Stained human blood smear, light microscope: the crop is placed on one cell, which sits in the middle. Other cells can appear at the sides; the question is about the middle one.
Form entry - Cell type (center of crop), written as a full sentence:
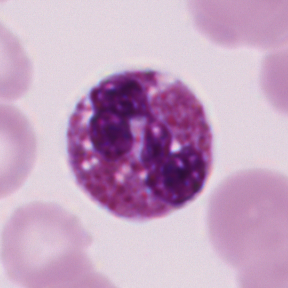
In this crop, the cell at the very middle is an eosinophil.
